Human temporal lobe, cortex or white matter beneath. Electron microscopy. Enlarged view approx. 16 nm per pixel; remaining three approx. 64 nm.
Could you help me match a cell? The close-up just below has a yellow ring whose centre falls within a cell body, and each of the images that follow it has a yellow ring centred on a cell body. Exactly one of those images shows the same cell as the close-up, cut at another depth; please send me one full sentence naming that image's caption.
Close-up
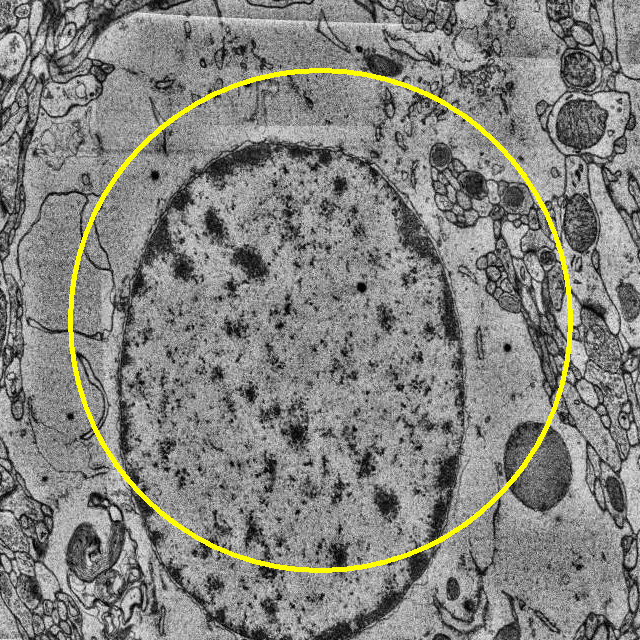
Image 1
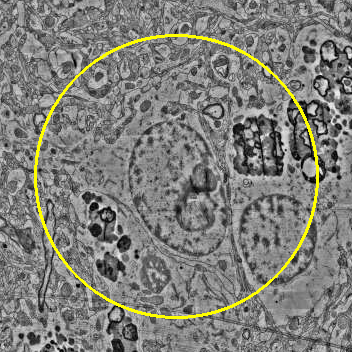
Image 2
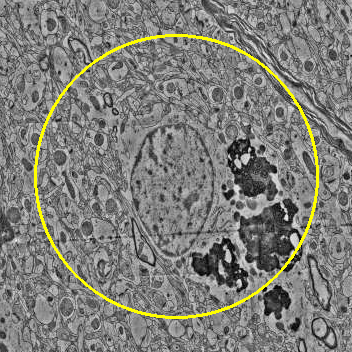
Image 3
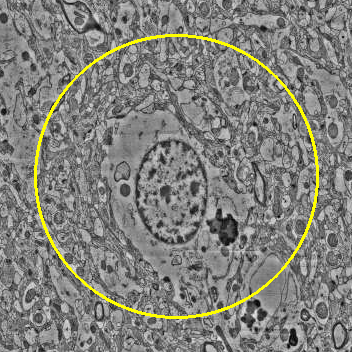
Shown in the close-up is the cell marked with a ring in Image 3.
